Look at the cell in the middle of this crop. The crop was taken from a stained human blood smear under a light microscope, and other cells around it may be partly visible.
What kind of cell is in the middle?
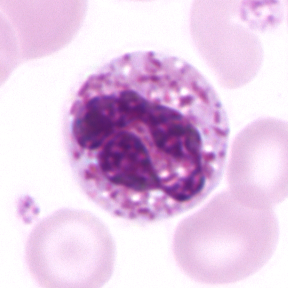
eosinophil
